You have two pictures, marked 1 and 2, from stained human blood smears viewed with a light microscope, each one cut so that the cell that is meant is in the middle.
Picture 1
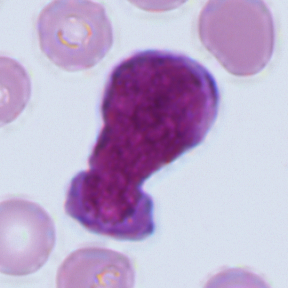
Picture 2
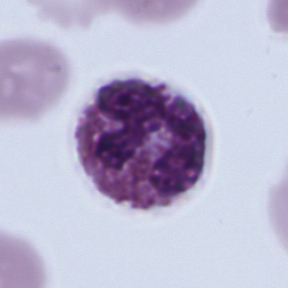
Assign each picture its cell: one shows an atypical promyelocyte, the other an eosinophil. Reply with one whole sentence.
In picture 1 the cell is an atypical promyelocyte; in picture 2, an eosinophil.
